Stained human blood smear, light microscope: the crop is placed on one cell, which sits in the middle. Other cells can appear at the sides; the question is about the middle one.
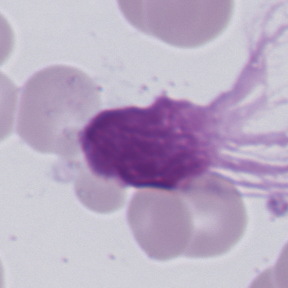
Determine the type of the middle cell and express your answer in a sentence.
On this slide crop, the central cell is a smudge cell.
